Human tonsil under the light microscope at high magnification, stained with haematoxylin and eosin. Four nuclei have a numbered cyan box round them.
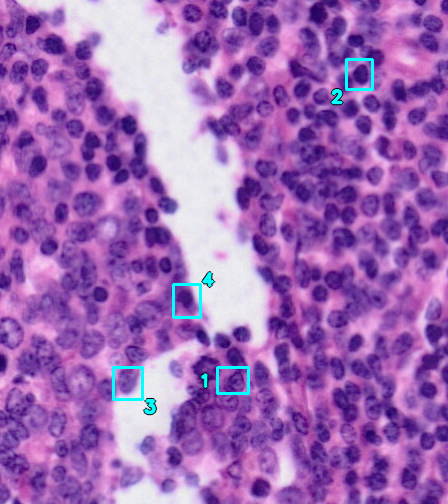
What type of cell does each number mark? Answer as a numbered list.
1. proliferating B cell
2. small lymphocyte
3. proliferating B cell
4. proliferating B cell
